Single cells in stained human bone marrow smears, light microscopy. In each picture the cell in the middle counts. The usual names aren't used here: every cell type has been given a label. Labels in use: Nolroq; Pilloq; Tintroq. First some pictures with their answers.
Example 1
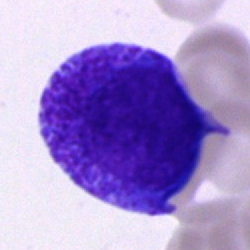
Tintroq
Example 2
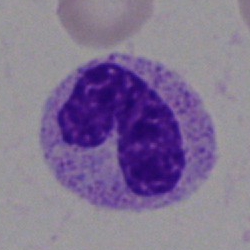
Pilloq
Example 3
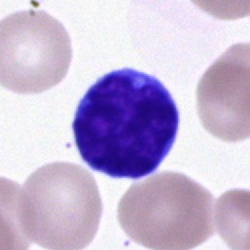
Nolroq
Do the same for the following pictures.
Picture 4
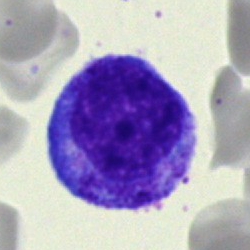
Tintroq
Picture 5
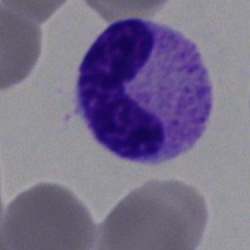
Pilloq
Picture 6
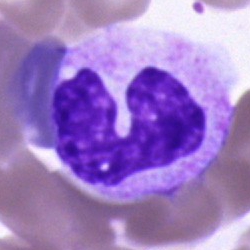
Pilloq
